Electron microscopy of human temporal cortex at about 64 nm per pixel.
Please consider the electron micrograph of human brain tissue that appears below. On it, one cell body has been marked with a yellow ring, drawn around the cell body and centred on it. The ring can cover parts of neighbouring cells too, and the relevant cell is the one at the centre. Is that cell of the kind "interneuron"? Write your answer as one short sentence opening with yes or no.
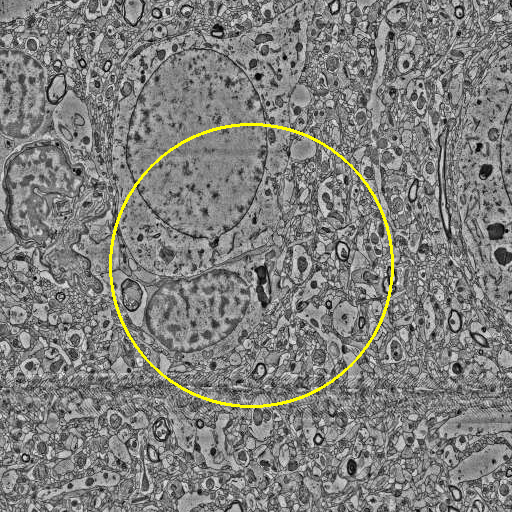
No, it is of another kind.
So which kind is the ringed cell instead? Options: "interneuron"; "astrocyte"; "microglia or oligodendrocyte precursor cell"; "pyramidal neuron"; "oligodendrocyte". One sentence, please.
Here, the ring is centred on an oligodendrocyte instead.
